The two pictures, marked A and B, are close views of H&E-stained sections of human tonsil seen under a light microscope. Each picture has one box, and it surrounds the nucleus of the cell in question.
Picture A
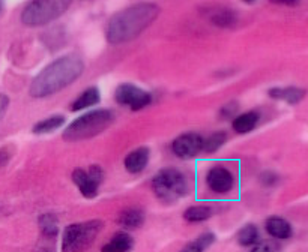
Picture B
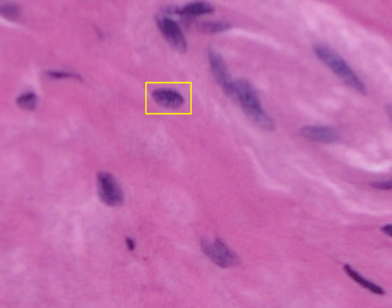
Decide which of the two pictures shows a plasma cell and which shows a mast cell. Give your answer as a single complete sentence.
It is picture A that shows a plasma cell, and picture B that shows a mast cell.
